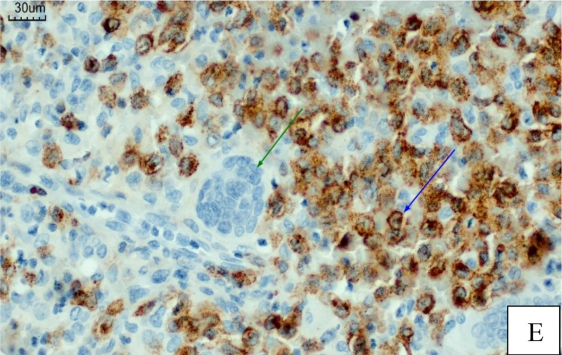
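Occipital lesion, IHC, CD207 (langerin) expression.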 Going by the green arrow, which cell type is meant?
Osteoclast‐type multinucleated cells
